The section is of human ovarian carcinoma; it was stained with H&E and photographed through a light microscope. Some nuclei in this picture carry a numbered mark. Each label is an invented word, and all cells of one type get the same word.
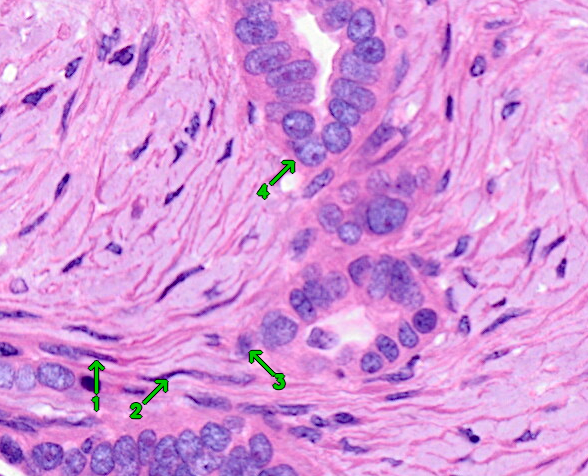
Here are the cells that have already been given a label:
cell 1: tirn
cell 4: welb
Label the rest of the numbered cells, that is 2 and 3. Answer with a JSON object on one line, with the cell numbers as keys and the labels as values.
{"2": "tirn", "3": "tirn"}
